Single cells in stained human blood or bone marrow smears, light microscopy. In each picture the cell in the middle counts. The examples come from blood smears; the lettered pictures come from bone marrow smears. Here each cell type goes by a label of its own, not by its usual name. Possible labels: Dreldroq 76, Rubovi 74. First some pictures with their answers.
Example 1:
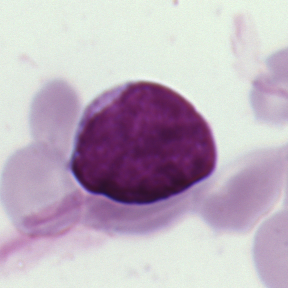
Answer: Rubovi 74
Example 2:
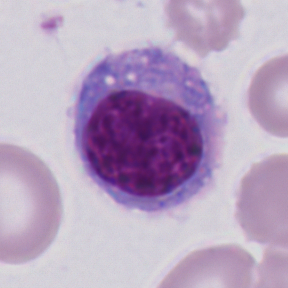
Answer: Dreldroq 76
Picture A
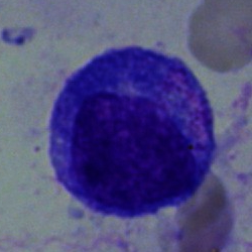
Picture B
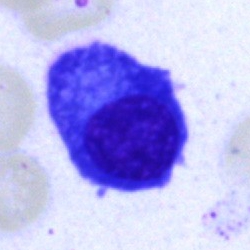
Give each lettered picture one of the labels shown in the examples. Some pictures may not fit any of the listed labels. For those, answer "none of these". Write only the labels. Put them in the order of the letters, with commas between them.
none of these, Dreldroq 76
